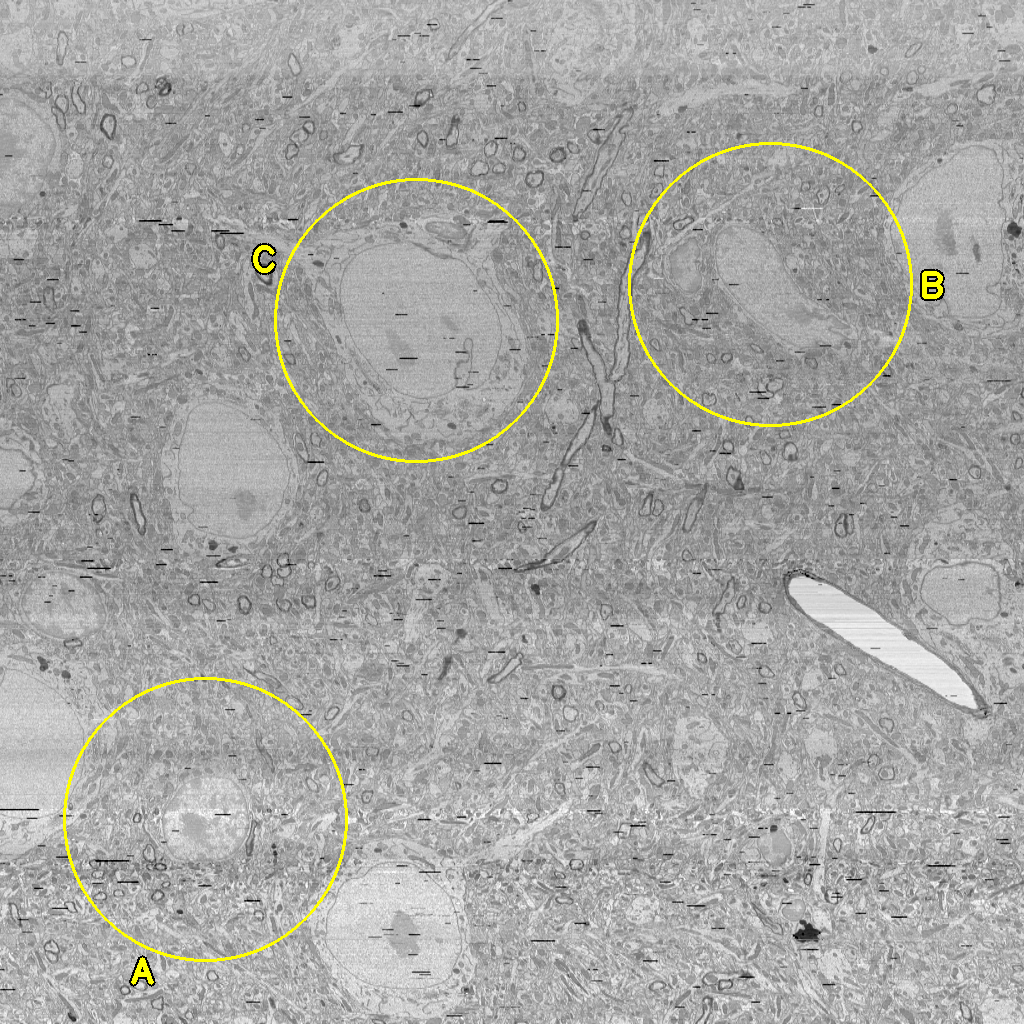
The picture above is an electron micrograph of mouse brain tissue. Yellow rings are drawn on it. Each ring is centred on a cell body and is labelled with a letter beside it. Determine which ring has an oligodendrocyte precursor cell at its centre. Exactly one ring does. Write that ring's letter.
B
